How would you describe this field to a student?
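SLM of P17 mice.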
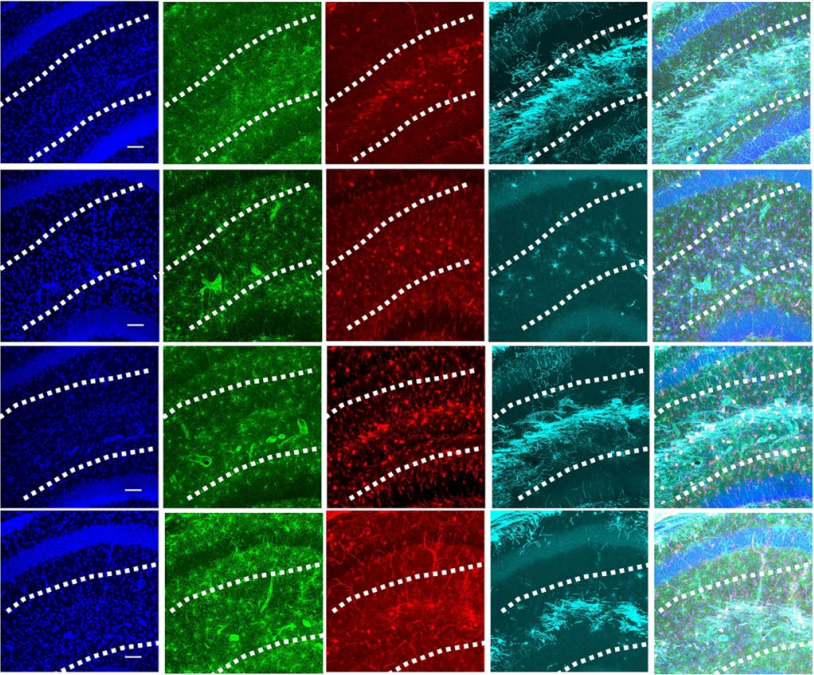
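Grid of fluorescence images of a band of brain tissue outlined by dashed lines, each row shown as blue, green, red and cyan channels and a merge. Densely packed blue nuclei form a cell layer at the upper left, while small green and red cell bodies with fine processes are scattered in and around the outlined band. Cyan fibres run along the band, dense and bundled in some rows and sparse with isolated cyan cells in others.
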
